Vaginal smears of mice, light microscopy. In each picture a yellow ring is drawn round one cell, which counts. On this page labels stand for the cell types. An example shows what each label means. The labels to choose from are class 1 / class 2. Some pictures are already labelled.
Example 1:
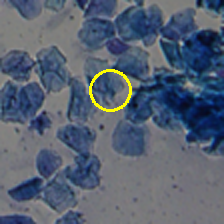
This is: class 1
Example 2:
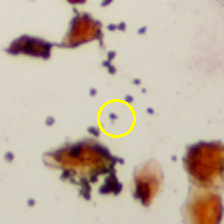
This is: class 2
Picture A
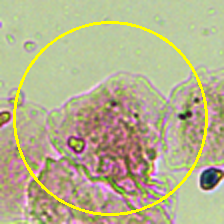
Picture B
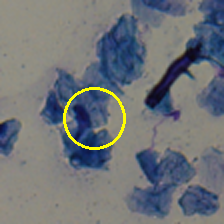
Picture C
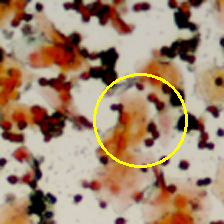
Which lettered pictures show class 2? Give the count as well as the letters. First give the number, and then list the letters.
0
